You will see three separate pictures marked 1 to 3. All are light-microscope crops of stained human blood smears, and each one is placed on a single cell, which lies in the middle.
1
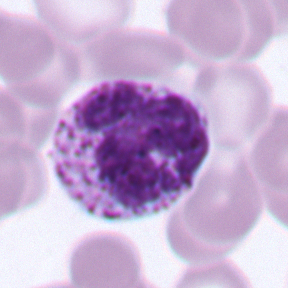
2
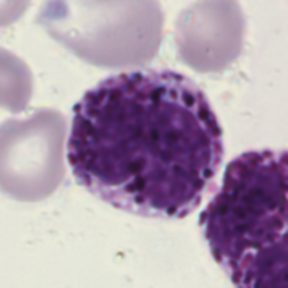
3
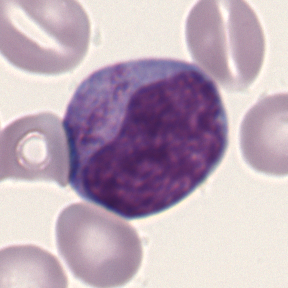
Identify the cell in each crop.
1: basophil
2: basophil
3: promyelocyte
